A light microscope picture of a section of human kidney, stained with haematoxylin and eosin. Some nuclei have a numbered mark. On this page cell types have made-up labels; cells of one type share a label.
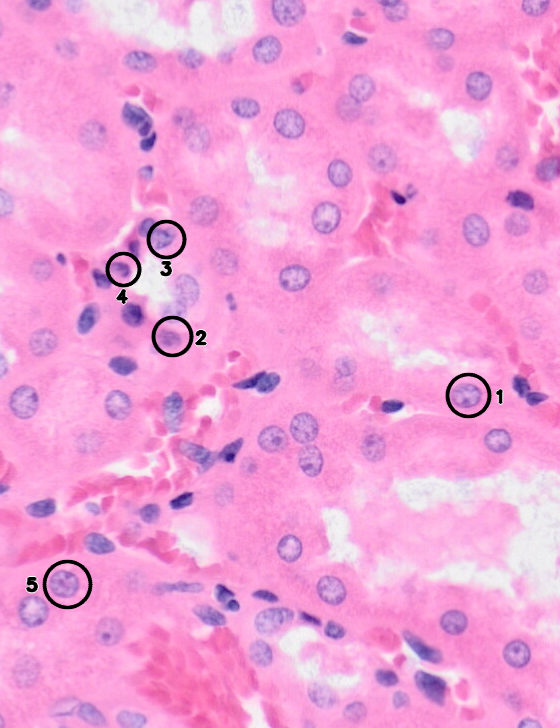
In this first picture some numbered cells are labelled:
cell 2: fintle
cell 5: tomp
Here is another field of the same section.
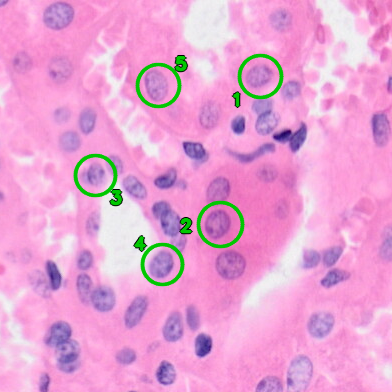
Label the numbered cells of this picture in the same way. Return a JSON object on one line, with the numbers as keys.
{"1": "tomp", "2": "tomp", "3": "fintle", "4": "fintle", "5": "tomp"}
